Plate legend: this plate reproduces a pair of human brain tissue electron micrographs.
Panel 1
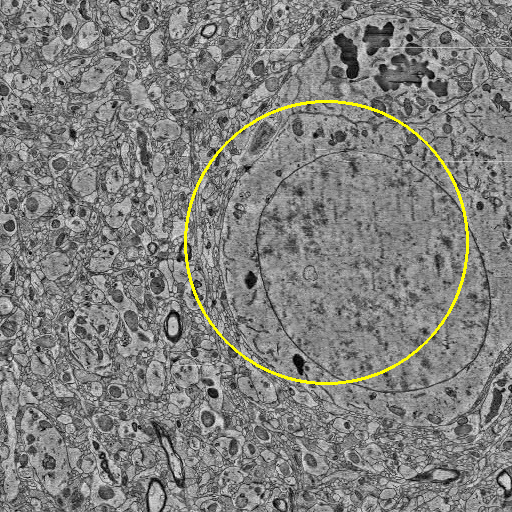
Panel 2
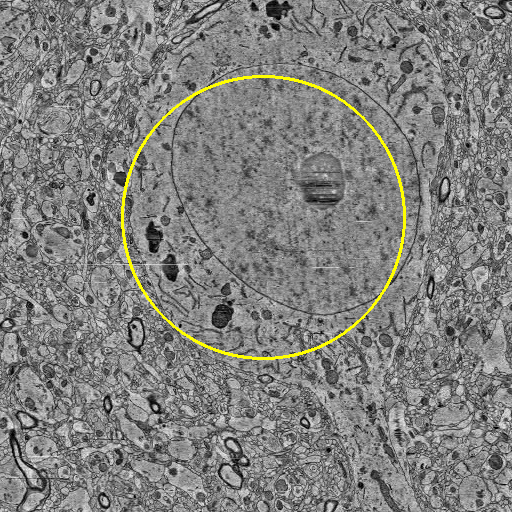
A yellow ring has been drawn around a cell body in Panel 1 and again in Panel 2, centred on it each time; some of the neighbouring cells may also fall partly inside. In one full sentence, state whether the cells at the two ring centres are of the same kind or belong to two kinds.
The ring-centred cells of Panel 1 and Panel 2 are of the same kind.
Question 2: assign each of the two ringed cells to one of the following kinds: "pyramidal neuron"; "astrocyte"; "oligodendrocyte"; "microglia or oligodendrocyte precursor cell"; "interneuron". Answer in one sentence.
Both the first and the second picture show a pyramidal neuron in the ring.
